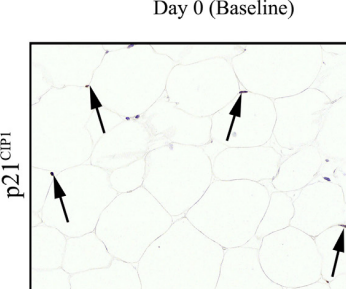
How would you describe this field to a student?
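This is a section of adipose tissue made up of large, polygonal fat cells whose interiors look empty, each bounded by a thin membrane. Small, flattened blue nuclei sit at the cell edges and in the thin septa where neighbouring fat cells meet. Arrows point to a handful of small, darkly stained nuclei scattered in these septa among the fat cells.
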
